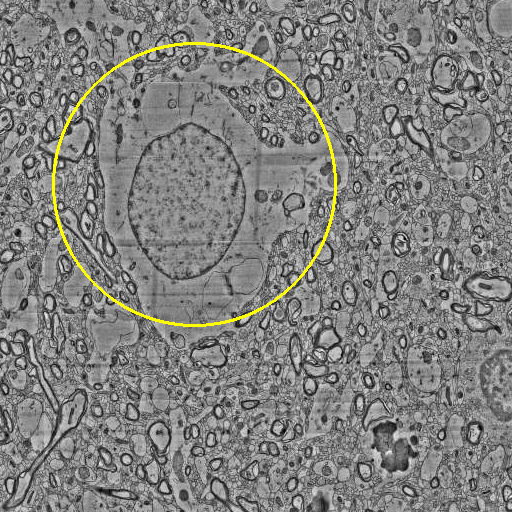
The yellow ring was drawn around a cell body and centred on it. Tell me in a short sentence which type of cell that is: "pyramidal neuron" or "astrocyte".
The cell at the ring's centre is an astrocyte.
